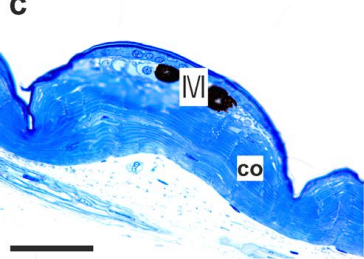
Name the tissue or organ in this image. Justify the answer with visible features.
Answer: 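A thin dark-blue outer layer covers scalloped, scale-like elevations. Dense layered fibres lie beneath the surface layer. Looser pale connective tissue lies at the bottom.
Conclusion: skin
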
